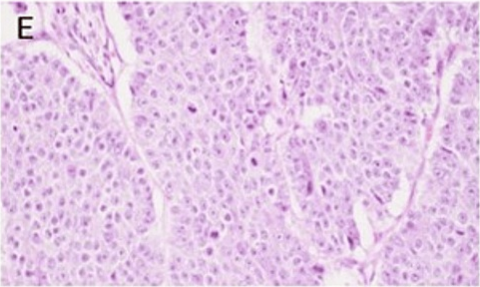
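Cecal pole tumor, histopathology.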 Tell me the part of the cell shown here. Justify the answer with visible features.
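Prominent nucleoli. Many nuclei contain a distinct dark dot.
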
